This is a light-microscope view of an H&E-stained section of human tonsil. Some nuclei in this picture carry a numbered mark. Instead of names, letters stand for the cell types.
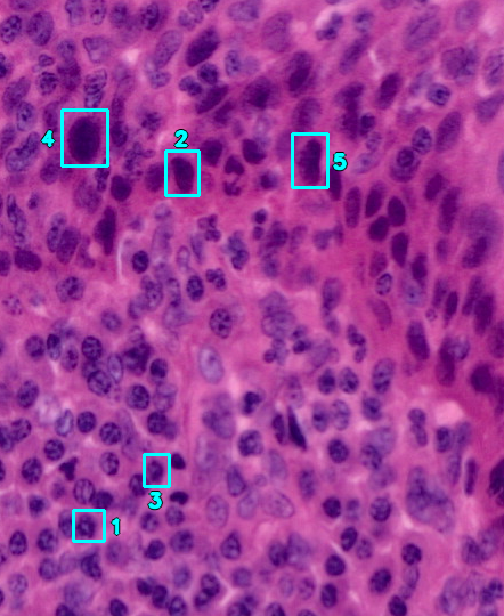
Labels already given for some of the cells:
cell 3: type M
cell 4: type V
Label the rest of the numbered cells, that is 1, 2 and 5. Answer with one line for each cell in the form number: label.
1: type M
2: type V
5: type V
